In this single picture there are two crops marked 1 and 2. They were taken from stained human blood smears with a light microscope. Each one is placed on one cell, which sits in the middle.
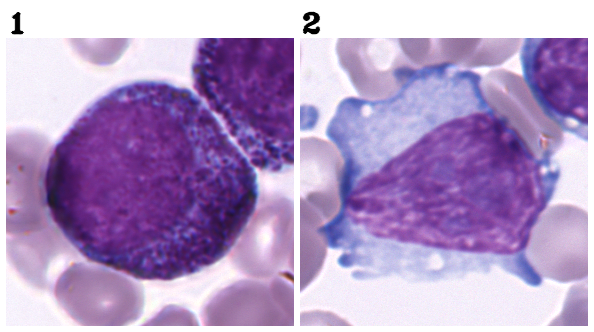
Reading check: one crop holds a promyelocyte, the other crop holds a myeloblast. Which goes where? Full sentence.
Crop 1 is a promyelocyte, and, separately, crop 2 is a myeloblast.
